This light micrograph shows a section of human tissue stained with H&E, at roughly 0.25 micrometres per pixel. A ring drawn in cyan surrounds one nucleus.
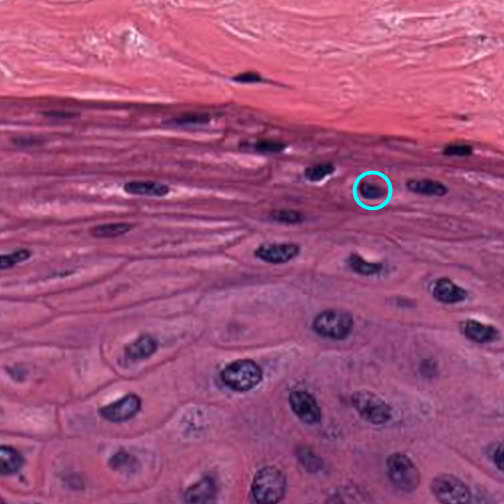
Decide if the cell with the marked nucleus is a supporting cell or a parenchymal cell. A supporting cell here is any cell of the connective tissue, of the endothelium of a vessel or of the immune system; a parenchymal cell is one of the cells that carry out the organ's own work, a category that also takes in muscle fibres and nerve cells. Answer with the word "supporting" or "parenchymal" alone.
parenchymal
